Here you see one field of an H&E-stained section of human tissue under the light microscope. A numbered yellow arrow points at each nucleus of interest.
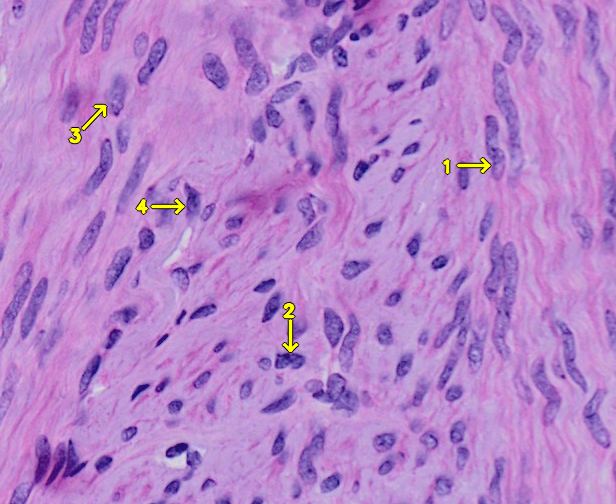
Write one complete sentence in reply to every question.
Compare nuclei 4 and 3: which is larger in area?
Nucleus 3 is larger, with an area about 1.5 times that of nucleus 4.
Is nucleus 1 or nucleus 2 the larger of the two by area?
It is nucleus 2, which covers about 1.5 times the area of nucleus 1.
